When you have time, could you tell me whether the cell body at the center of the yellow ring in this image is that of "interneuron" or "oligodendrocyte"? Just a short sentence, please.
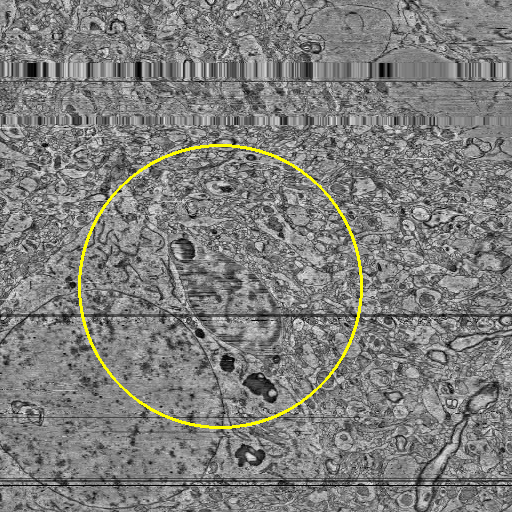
The cell body at the center of the ring is that of an oligodendrocyte.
